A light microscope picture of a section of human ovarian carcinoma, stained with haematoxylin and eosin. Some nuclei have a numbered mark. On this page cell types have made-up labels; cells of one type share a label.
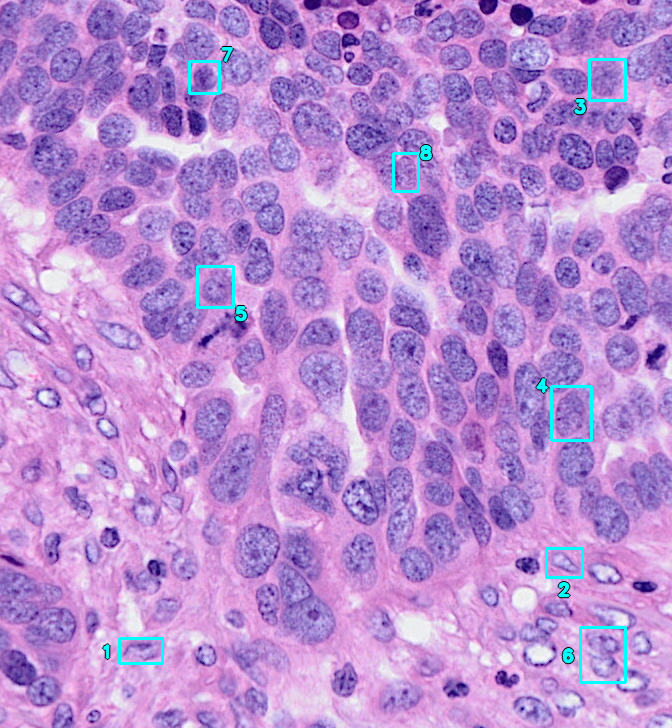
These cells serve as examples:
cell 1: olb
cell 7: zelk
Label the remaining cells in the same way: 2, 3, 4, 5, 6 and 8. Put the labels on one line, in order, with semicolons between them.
olb; zelk; zelk; zelk; olb; zelk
